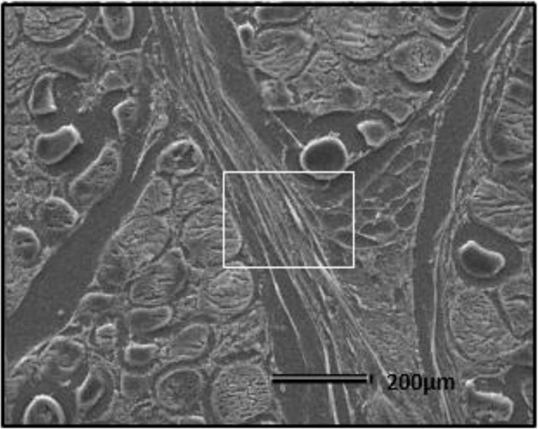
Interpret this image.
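This is a cut surface of skeletal muscle seen by scanning electron microscopy. Most of the field is filled with muscle fibers cut across, appearing as rounded to polygonal profiles packed side by side in groups, each with a finely cracked, textured face. Broad dark spaces separate some of these groups. Running diagonally through the middle is a band of long, parallel strands lying tightly together: bundles of connective tissue fibers in the space between the groups of muscle fibers. Scattered among the fibers are a few smaller, smooth, bright-rimmed rounded profiles that look different from their neighbours.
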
